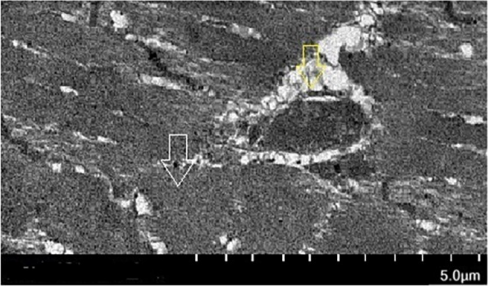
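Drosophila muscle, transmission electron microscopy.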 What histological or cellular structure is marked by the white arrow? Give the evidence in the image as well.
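Myogenic fibers. The white arrow points to a broad elongated band of fine uniform texture. Similar bands fill most of the field, running obliquely.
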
